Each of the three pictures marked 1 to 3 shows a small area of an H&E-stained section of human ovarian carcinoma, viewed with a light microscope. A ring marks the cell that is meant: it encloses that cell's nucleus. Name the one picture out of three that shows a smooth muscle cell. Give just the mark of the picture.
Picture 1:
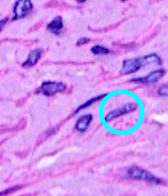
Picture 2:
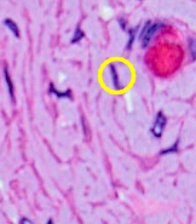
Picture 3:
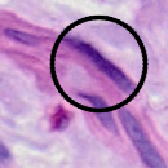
3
